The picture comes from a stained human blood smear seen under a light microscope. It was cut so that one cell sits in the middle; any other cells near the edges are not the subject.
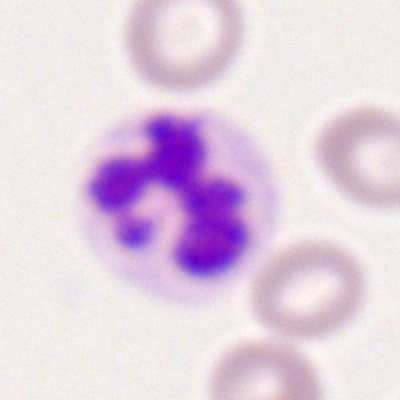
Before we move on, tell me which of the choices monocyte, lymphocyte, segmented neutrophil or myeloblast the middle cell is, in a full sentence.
The identification for the central cell is a segmented neutrophil.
